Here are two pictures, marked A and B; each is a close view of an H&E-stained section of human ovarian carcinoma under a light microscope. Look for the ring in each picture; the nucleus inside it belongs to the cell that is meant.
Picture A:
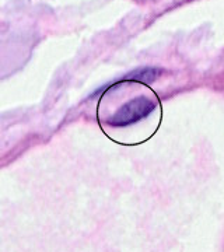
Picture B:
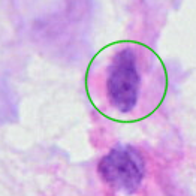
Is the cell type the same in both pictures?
no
